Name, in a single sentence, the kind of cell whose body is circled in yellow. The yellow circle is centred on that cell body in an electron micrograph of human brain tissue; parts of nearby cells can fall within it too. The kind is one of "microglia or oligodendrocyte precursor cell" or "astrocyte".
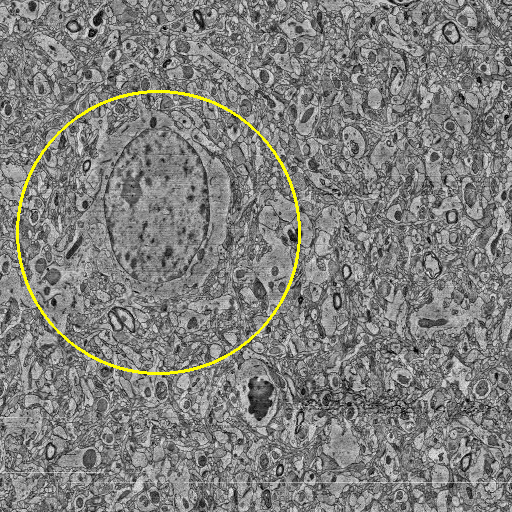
The circled cell body belongs to an astrocyte.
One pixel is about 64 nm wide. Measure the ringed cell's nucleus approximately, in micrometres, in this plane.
Approximately 10 by 7 micrometers, which makes the nucleus clearly longer than it is wide in this plane.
